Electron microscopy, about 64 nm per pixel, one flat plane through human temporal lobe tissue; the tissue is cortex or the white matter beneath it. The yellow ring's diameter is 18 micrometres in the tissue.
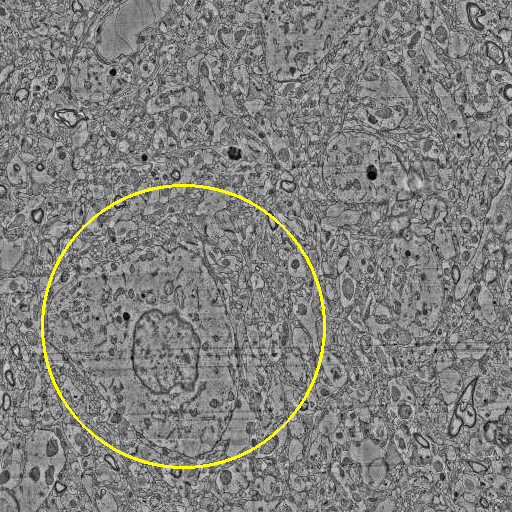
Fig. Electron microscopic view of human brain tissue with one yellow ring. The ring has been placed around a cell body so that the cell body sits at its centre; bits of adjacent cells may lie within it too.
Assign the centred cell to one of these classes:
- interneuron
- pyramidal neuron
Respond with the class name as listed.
pyramidal neuron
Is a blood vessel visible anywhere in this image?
No, the image shows no blood vessel.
